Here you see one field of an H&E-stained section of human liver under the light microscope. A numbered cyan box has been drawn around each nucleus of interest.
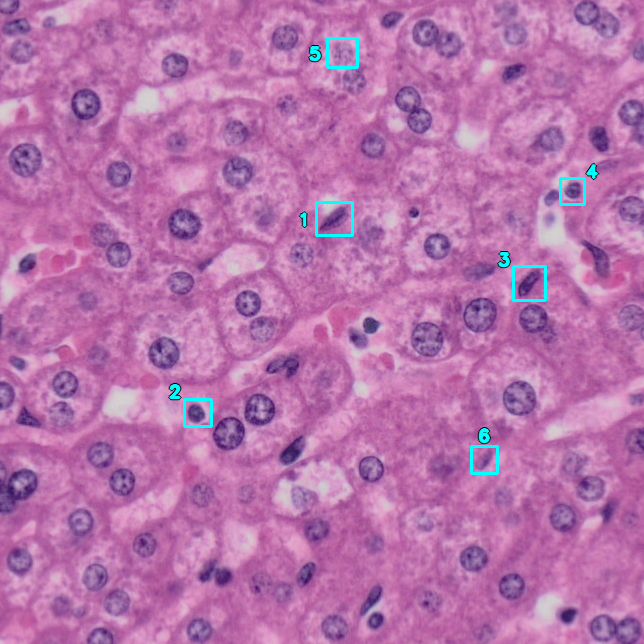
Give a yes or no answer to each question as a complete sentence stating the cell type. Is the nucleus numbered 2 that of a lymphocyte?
Yes, the cell with its nucleus marked 2 is a lymphocyte.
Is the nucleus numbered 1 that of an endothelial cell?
Yes, the cell that number 1 points to is an endothelial cell.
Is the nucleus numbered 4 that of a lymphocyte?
Yes, the cell that the number 4 labels is a lymphocyte.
